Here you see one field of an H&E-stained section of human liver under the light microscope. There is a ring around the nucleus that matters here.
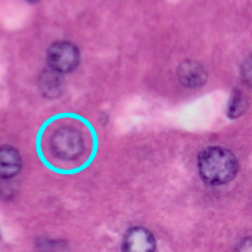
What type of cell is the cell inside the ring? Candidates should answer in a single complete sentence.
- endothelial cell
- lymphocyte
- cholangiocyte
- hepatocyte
In this tissue sample, the cell inside the ring is a hepatocyte.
